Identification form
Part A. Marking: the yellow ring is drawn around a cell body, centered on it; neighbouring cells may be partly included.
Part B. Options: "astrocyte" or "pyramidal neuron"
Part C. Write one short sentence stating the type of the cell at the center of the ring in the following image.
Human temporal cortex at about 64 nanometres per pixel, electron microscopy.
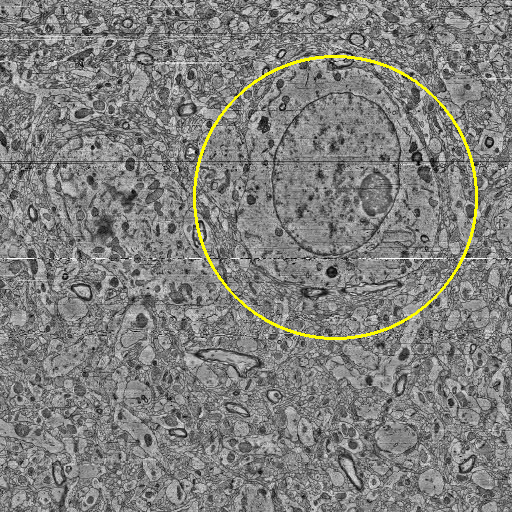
The center of the ring holds a pyramidal neuron.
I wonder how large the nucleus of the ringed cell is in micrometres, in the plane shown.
The ringed cell's nucleus measures approximately 11 by 8 micrometres in this plane.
